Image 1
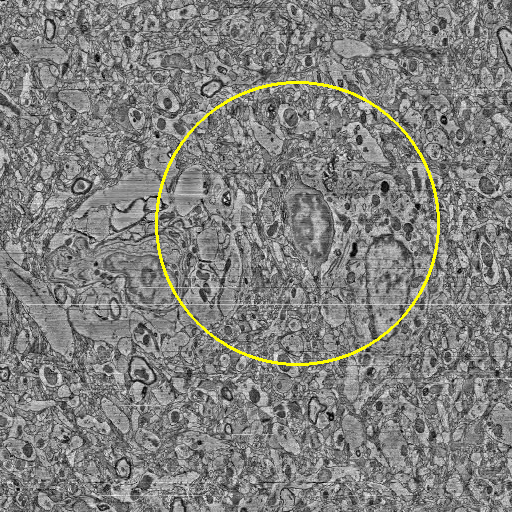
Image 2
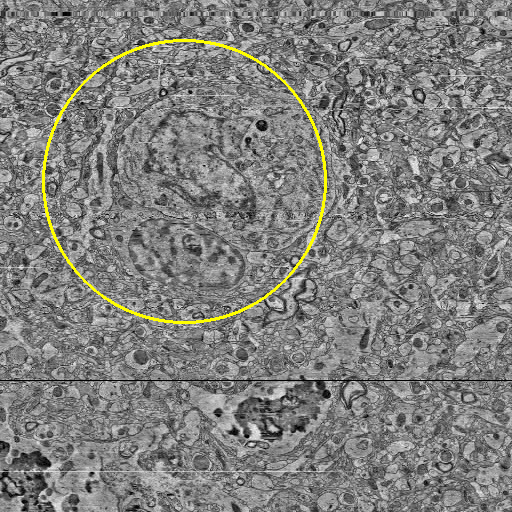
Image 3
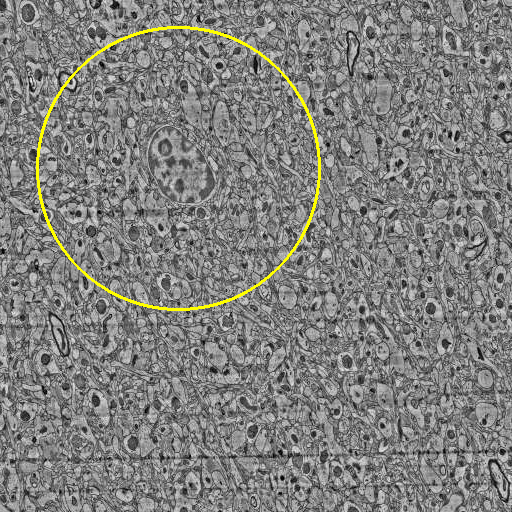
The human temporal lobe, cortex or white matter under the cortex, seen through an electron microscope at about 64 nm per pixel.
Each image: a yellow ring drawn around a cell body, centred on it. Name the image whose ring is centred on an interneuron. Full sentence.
That is Image 2.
